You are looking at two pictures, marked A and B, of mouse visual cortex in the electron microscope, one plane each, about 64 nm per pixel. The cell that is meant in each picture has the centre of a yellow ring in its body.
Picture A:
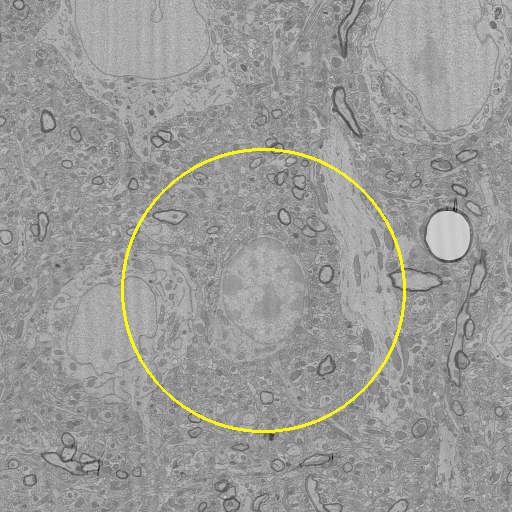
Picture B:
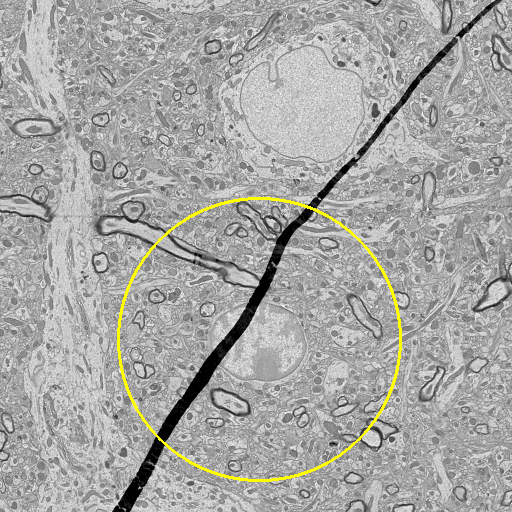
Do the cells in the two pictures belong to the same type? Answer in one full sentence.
Yes, both are oligodendrocytes.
